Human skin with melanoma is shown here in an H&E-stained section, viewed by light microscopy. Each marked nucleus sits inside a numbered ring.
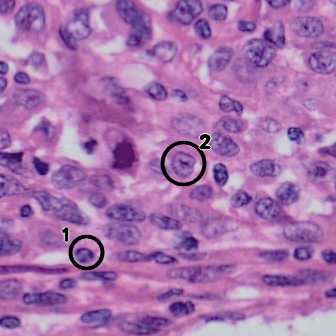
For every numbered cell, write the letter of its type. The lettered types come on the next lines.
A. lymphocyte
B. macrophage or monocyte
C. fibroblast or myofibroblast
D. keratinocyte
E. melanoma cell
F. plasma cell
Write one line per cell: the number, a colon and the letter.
1: A
2: E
